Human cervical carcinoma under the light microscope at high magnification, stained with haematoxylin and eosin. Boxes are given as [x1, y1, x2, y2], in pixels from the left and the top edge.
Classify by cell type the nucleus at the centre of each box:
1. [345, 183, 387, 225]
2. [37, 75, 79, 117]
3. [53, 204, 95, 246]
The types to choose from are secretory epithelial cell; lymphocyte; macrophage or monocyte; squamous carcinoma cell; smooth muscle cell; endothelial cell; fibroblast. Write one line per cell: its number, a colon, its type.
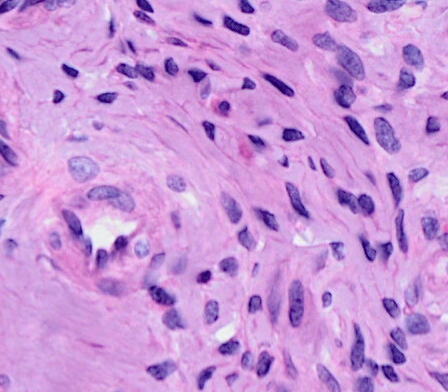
1: fibroblast
2: fibroblast
3: endothelial cell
